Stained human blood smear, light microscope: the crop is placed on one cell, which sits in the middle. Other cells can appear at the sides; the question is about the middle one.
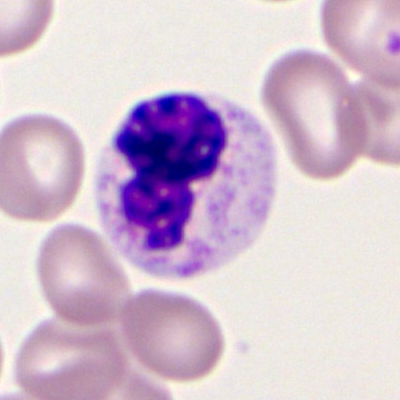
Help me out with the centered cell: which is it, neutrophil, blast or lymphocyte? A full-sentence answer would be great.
The cell in the exact centre of the crop is a neutrophil.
